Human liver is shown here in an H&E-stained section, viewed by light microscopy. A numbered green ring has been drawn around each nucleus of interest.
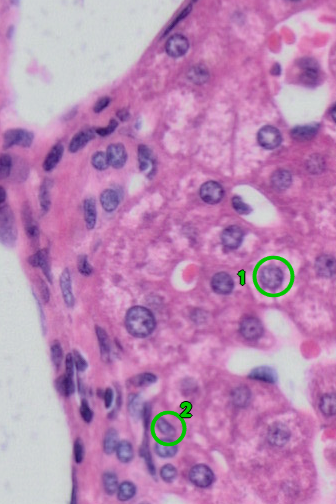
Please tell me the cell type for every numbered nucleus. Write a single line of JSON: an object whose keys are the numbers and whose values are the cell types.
{"1": "hepatocyte", "2": "cholangiocyte"}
